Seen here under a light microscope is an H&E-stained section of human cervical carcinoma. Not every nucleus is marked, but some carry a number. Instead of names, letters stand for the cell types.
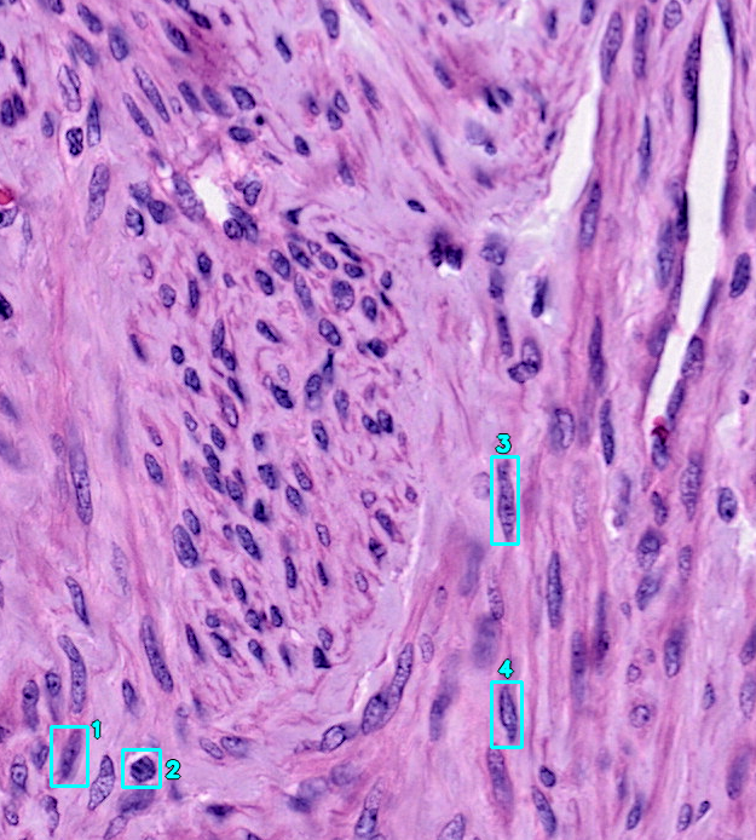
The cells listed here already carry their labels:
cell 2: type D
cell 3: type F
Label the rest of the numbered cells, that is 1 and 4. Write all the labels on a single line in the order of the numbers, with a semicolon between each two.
type F; type F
